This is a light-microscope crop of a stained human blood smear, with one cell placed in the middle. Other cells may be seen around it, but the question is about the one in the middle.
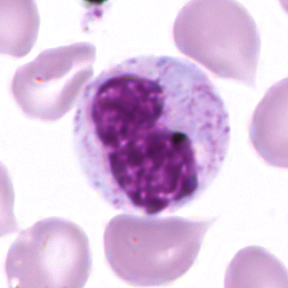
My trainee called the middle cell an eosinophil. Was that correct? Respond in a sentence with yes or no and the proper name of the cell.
No, what sits in the centre of the crop is a band neutrophil rather than an eosinophil.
